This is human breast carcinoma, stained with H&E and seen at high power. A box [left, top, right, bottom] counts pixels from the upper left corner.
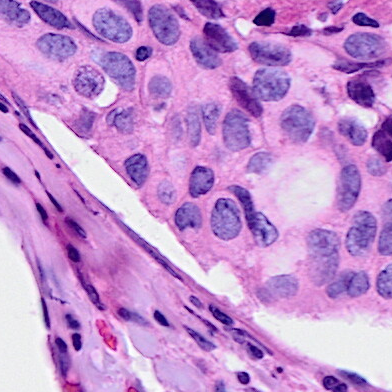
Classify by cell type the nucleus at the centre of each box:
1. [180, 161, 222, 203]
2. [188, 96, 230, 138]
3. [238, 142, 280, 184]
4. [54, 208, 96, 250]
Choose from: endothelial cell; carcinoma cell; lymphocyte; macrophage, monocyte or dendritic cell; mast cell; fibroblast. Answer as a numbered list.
1. carcinoma cell
2. carcinoma cell
3. carcinoma cell
4. endothelial cell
